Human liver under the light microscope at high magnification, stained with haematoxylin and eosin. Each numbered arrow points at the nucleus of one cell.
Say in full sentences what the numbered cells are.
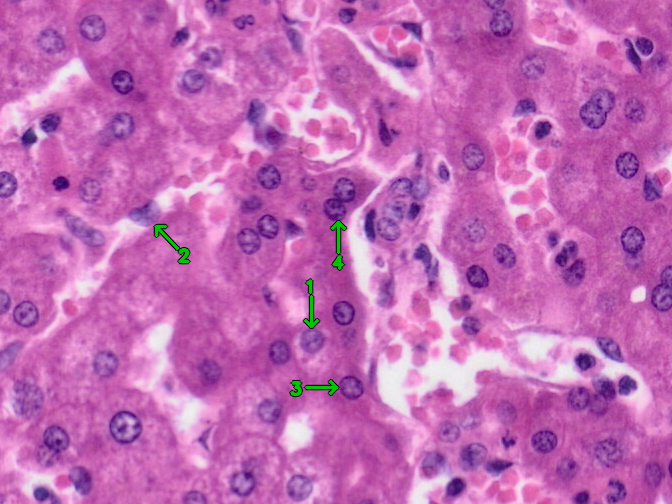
Cell 1 is a hepatocyte, cell 2 is an endothelial cell, cell 3 is a hepatocyte and cell 4 is a hepatocyte.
